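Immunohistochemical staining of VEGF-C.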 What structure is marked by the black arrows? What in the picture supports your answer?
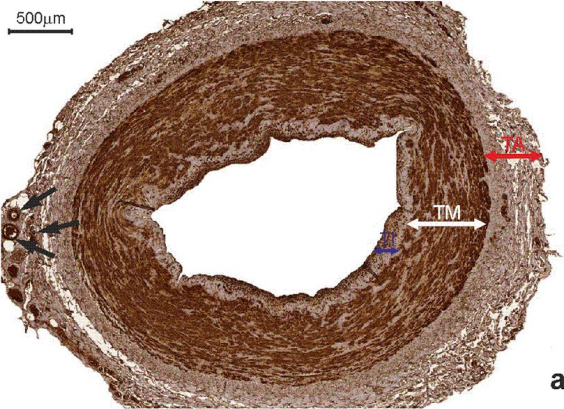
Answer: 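The arrows point to small round profiles with a lumen in the loose outer layer of the wall. These profiles have brown-stained rings around their lumina. They lie among pale fat cells at the outer edge. That points to this answer: small blood vessels.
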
